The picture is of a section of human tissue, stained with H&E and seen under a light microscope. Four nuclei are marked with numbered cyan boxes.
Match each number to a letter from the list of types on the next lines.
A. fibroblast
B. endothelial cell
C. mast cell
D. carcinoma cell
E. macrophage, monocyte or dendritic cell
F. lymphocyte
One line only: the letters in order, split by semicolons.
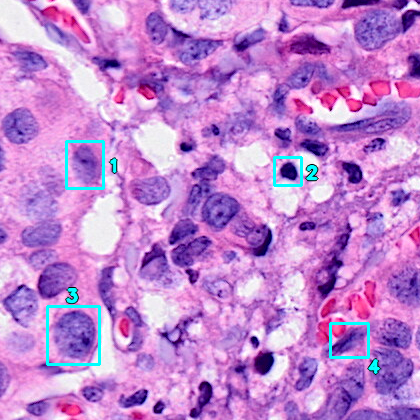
D; F; D; B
